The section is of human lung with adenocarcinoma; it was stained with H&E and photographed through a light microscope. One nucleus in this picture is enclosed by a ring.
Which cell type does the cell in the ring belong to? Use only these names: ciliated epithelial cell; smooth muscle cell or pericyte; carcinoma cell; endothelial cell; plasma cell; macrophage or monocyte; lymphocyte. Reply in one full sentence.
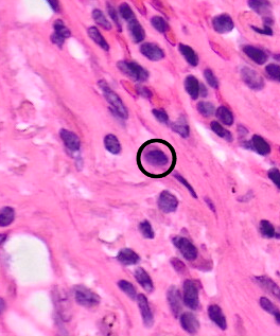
It is a plasma cell that the cell in the ring represents.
